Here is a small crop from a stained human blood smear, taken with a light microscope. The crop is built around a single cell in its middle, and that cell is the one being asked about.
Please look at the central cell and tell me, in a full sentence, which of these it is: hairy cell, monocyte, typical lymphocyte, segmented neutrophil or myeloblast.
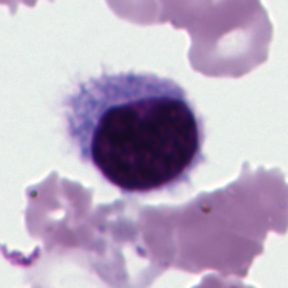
The cell at the centre of the field is a hairy cell.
